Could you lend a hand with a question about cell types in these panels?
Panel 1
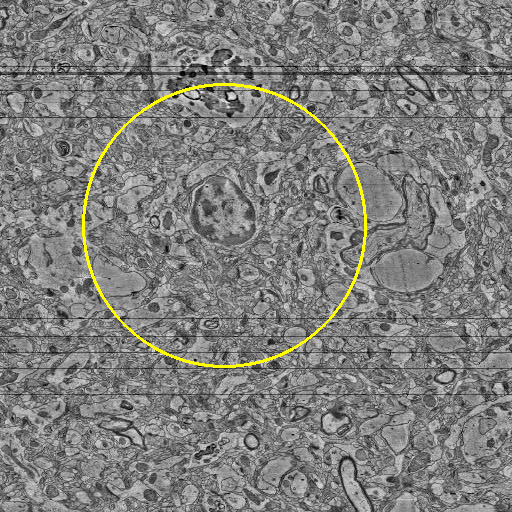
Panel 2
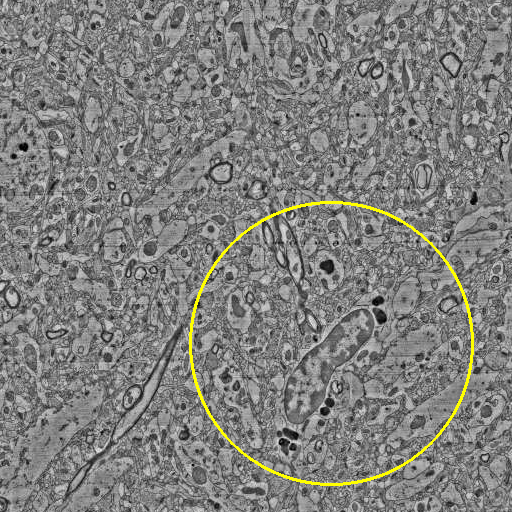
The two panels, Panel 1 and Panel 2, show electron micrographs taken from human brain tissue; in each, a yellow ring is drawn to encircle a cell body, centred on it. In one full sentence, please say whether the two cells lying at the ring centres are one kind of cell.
Yes, the cells at the ring centres in the two panels are one kind of cell.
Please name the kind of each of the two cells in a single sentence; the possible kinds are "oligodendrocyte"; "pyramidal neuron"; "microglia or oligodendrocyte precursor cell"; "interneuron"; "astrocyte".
In each picture the ringed cell is a microglial cell or oligodendrocyte precursor cell.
